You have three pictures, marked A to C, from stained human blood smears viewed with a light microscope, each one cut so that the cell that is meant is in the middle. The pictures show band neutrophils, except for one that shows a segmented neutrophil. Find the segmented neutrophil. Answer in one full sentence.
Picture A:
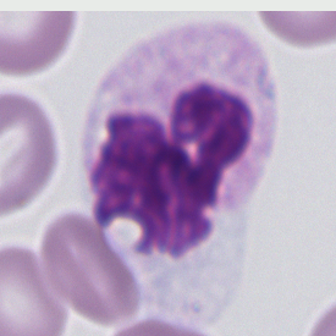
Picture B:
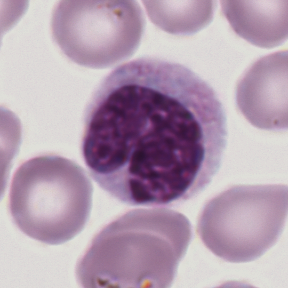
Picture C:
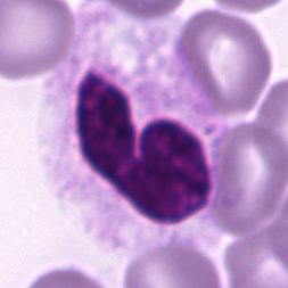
Picture A is the one that shows the segmented neutrophil.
